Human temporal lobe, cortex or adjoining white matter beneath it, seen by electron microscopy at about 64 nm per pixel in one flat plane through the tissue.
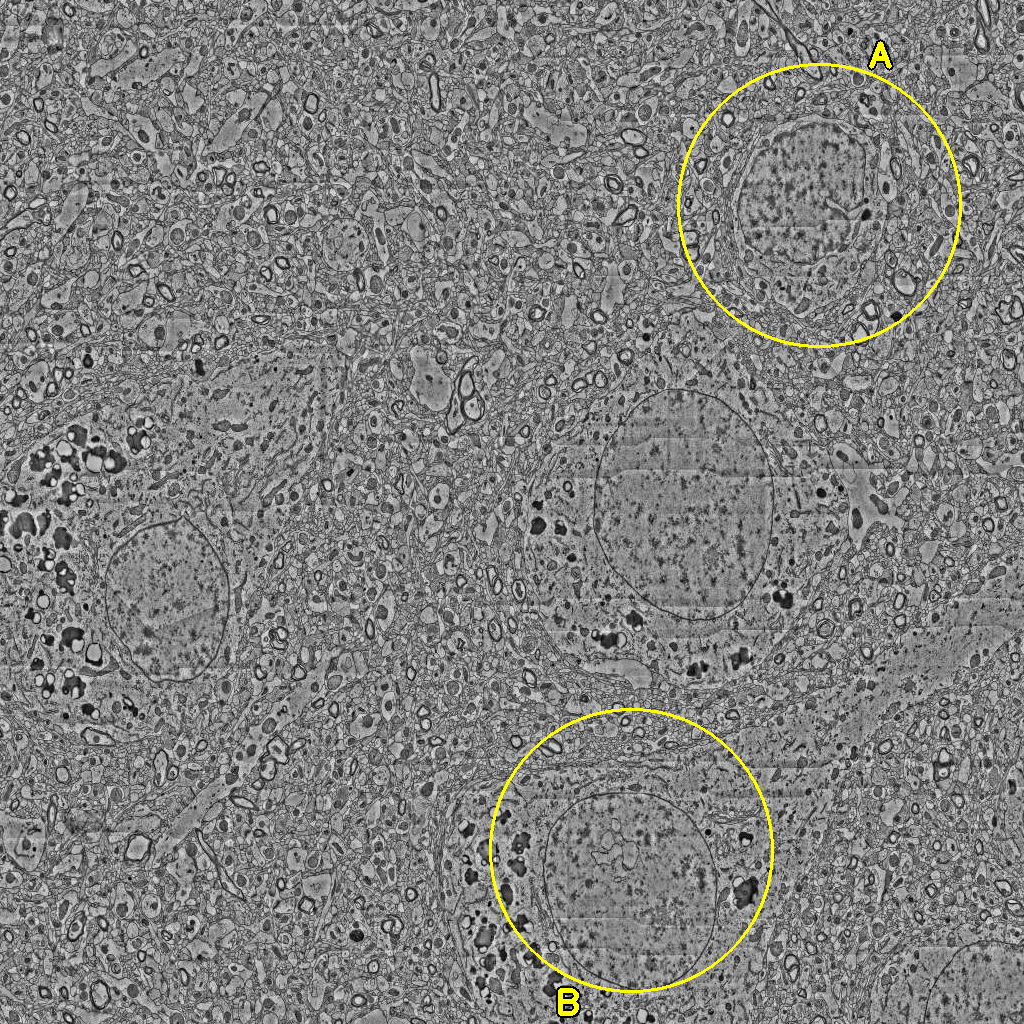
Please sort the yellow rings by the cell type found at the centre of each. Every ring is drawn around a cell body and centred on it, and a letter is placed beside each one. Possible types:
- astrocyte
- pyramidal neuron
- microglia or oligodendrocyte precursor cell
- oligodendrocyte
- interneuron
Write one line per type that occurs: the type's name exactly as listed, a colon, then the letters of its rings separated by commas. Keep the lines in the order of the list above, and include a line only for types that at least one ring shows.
pyramidal neuron: B
interneuron: A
